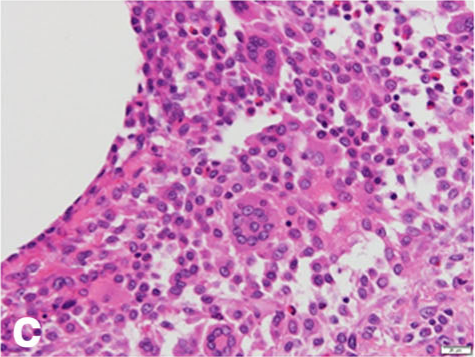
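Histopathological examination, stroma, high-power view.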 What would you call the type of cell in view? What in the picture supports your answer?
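Large cells with abundant pink cytoplasm contain several nuclei each. These large cells lie beside an empty cystic space among smaller inflammatory cells. So: multinucleated giant cells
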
